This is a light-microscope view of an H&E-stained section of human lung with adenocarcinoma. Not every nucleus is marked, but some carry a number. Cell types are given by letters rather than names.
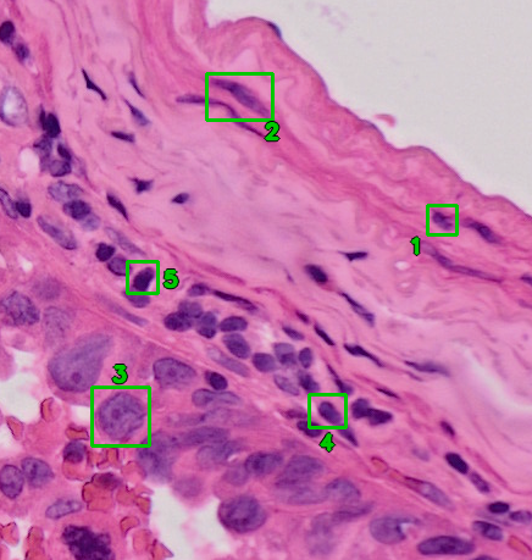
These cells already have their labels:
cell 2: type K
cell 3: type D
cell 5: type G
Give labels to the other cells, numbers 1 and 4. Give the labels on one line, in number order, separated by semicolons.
type K; type G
